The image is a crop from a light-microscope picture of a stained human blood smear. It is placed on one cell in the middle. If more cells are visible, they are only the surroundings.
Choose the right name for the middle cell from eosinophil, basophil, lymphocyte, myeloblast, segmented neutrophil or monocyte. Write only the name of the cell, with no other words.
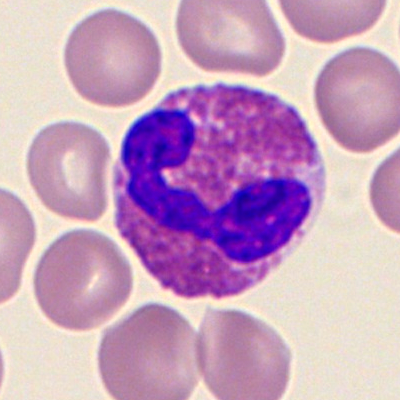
eosinophil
